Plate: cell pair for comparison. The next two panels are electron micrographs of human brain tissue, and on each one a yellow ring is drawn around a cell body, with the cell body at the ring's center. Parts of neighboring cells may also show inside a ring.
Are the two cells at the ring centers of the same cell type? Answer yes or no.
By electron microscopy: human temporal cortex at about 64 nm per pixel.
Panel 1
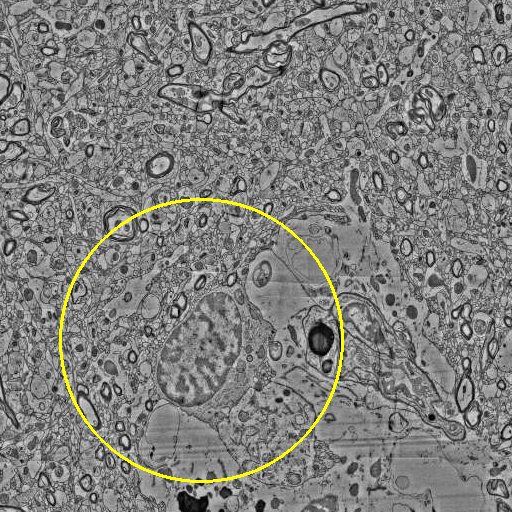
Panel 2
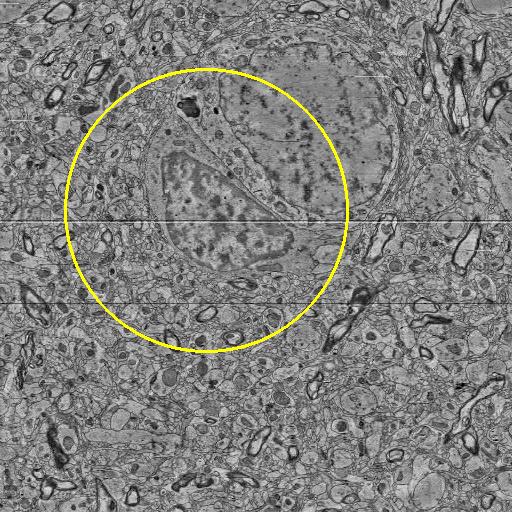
yes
